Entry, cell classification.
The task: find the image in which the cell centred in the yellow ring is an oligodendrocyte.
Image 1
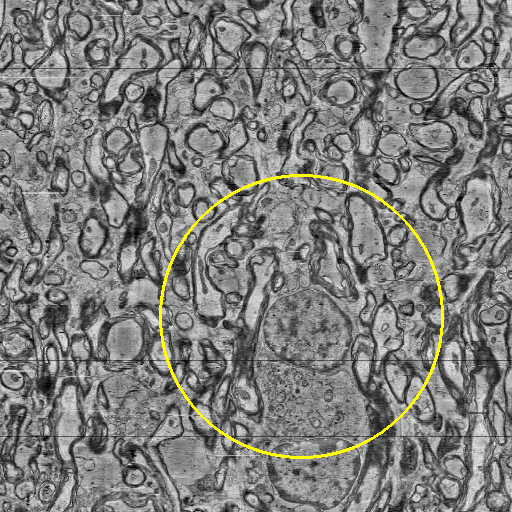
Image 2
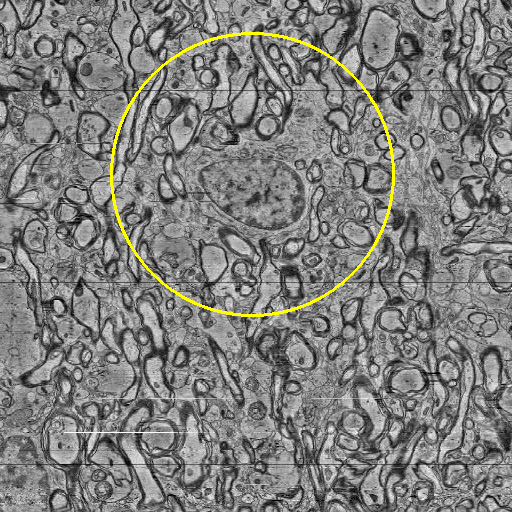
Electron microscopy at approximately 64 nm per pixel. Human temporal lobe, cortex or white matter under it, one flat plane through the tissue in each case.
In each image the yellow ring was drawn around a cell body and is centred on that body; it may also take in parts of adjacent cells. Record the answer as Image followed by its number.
Image 1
